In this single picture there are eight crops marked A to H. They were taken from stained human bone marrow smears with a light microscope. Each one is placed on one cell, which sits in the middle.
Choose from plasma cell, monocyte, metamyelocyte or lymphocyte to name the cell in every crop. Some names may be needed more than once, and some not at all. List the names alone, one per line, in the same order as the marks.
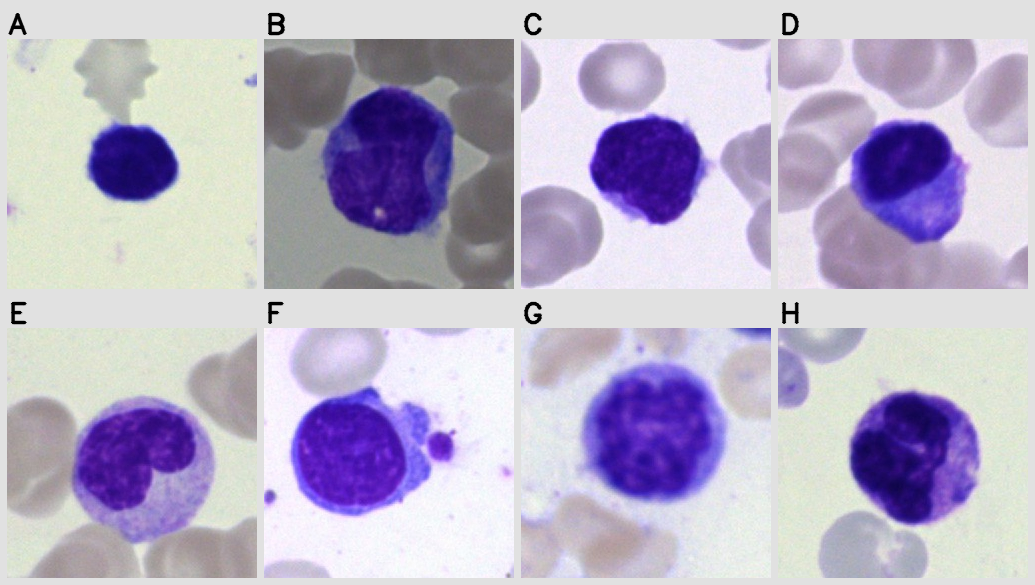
lymphocyte
monocyte
lymphocyte
plasma cell
metamyelocyte
lymphocyte
monocyte
monocyte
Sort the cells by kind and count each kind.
lymphocyte: 3
monocyte: 3
plasma cell: 1
metamyelocyte: 1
